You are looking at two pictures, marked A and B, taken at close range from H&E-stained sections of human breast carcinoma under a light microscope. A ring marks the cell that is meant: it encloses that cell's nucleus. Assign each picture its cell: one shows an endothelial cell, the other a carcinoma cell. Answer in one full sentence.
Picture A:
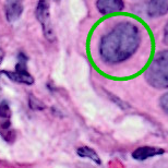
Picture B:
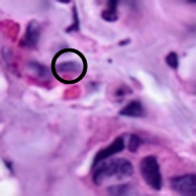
The cell in picture A is a carcinoma cell, and the one in picture B is an endothelial cell.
